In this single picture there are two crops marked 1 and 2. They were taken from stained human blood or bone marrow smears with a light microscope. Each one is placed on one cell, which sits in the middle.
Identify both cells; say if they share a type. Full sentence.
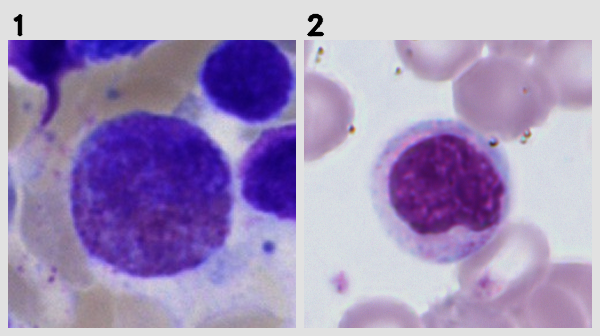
No, the cell at the middle of crop 1 is an eosinophil, while crop 2 centres on a metamyelocyte.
